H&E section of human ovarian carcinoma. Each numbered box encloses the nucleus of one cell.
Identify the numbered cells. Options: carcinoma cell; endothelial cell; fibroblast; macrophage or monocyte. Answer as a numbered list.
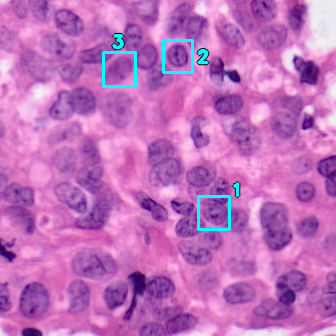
1. carcinoma cell
2. macrophage or monocyte
3. carcinoma cell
